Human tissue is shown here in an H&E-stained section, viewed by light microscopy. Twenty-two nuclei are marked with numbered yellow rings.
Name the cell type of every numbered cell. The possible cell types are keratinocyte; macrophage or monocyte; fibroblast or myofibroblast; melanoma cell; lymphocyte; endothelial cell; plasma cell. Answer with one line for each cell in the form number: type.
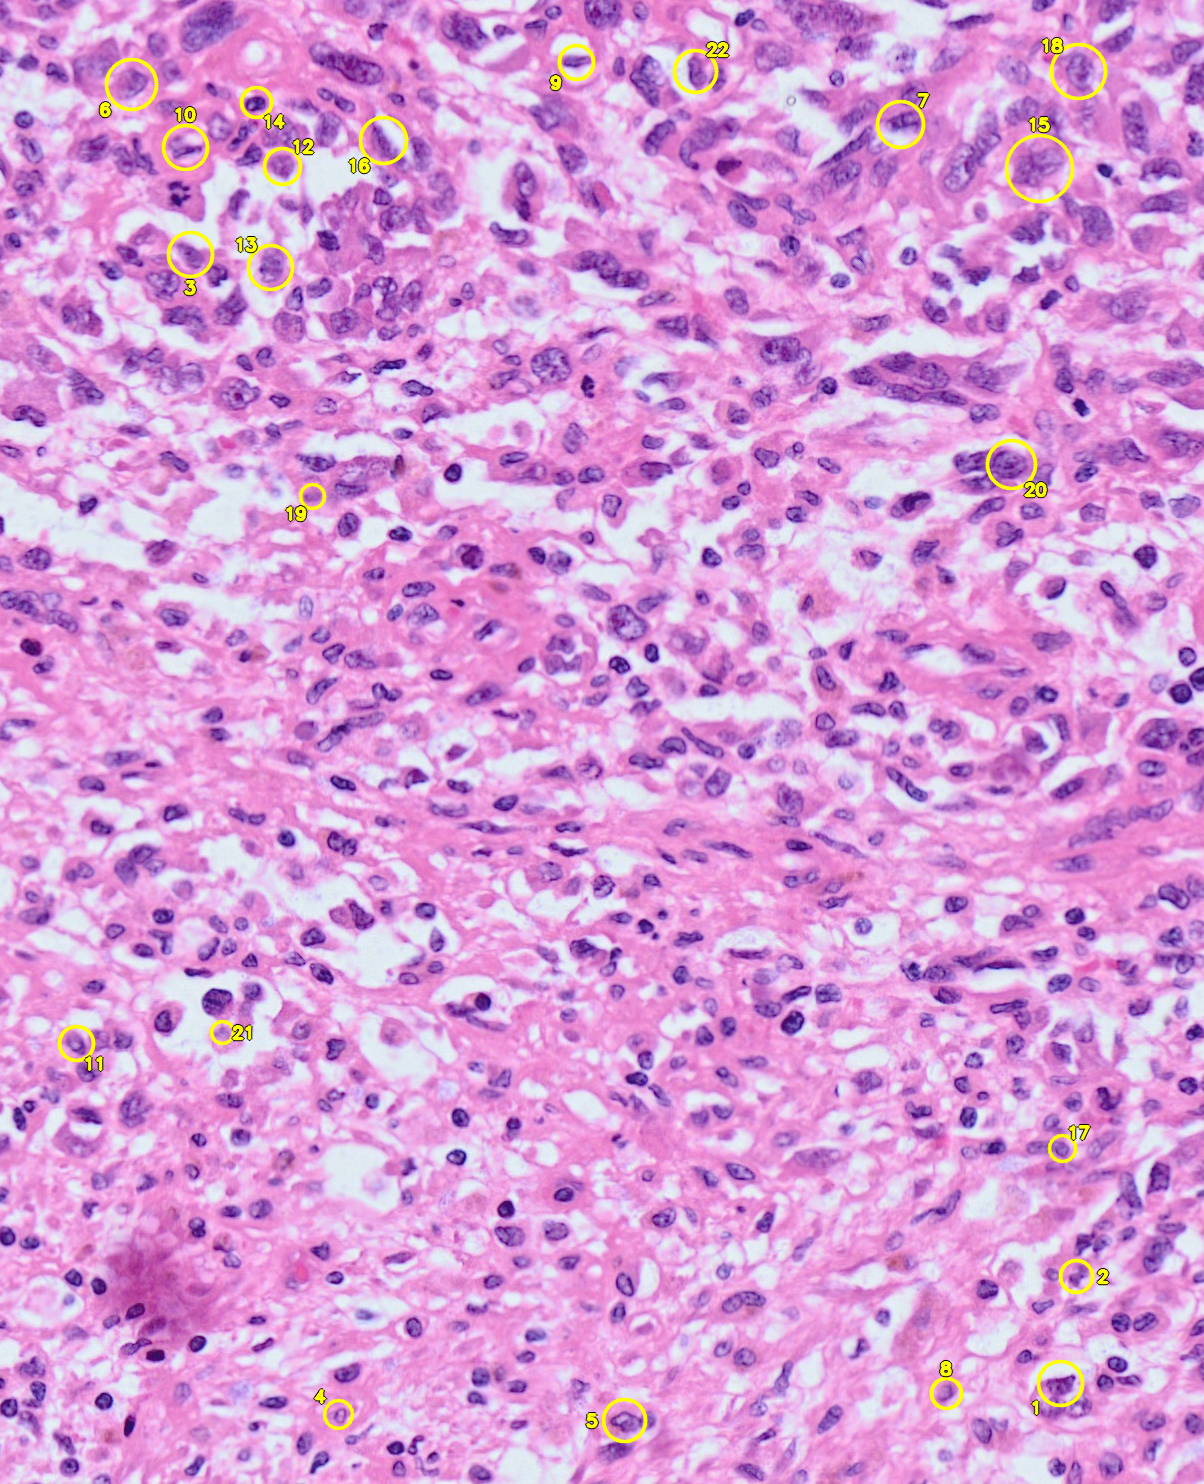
1: melanoma cell
2: fibroblast or myofibroblast
3: melanoma cell
4: endothelial cell
5: macrophage or monocyte
6: melanoma cell
7: melanoma cell
8: macrophage or monocyte
9: endothelial cell
10: endothelial cell
11: macrophage or monocyte
12: melanoma cell
13: melanoma cell
14: lymphocyte
15: melanoma cell
16: melanoma cell
17: macrophage or monocyte
18: melanoma cell
19: macrophage or monocyte
20: melanoma cell
21: macrophage or monocyte
22: melanoma cell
